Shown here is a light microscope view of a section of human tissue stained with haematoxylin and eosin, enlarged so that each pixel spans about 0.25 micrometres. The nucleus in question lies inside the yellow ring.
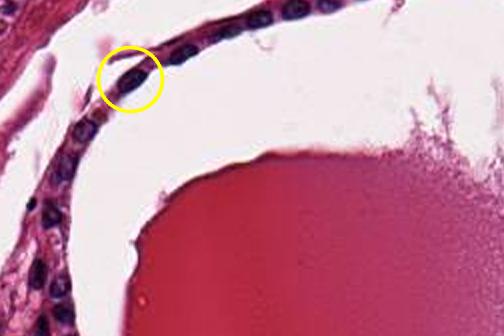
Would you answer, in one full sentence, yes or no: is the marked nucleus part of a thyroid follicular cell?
Yes, the nucleus shown with the mark belongs to a thyroid follicular cell.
